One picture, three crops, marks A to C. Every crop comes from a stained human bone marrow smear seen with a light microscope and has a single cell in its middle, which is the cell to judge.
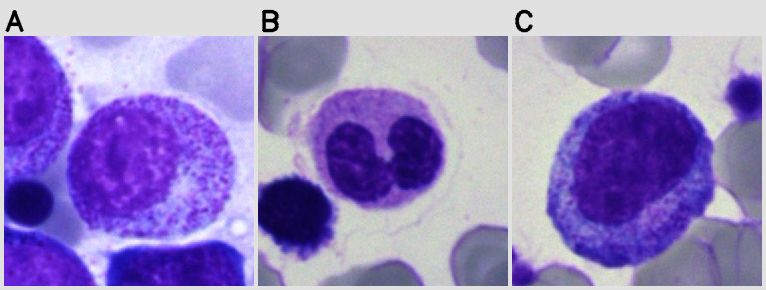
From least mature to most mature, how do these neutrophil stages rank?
C, A, B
